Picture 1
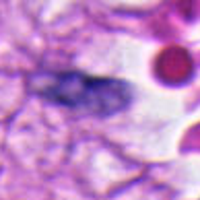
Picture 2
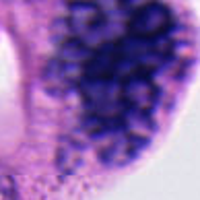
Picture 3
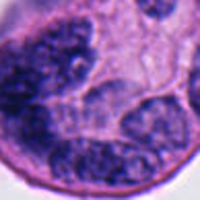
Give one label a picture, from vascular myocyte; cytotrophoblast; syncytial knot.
1: vascular myocyte
2: syncytial knot
3: cytotrophoblast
